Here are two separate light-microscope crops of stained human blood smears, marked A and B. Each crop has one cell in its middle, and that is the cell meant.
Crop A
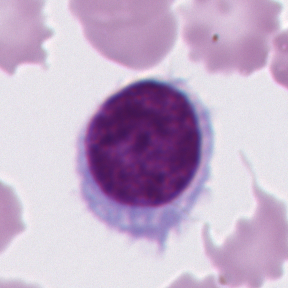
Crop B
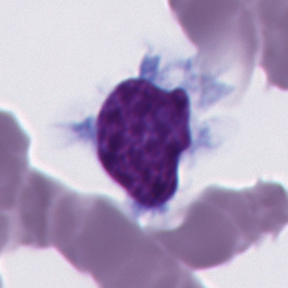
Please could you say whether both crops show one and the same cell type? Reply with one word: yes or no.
yes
